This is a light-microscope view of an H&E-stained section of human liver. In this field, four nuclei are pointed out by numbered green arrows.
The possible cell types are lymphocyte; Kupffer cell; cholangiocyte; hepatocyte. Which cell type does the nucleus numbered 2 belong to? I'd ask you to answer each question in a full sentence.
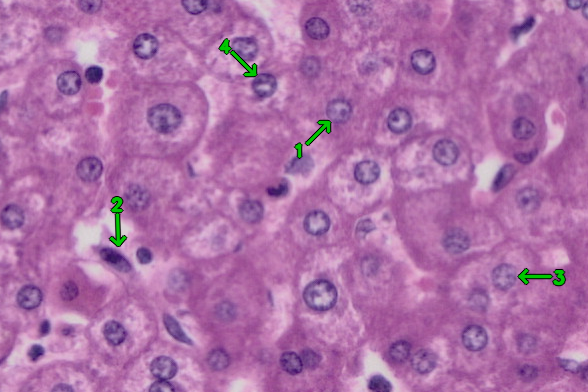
Cell 2 should be recorded as a Kupffer cell.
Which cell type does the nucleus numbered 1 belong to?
The nucleus marked 1 is the nucleus of a hepatocyte.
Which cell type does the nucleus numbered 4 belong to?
The cell with the number 4 is a hepatocyte.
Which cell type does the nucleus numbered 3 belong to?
Classified as a hepatocyte is the cell with the number 3.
